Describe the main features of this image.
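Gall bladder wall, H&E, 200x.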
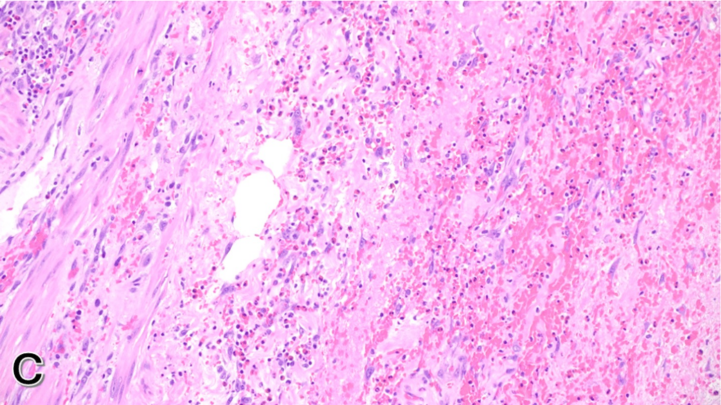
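At the left, bundles of pink fibrous and muscular tissue and a few empty spaces border a loose stroma. The stroma is filled with small cells that have bright pink-red cytoplasm, together with extravasated red blood cells and scattered spindle cells.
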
